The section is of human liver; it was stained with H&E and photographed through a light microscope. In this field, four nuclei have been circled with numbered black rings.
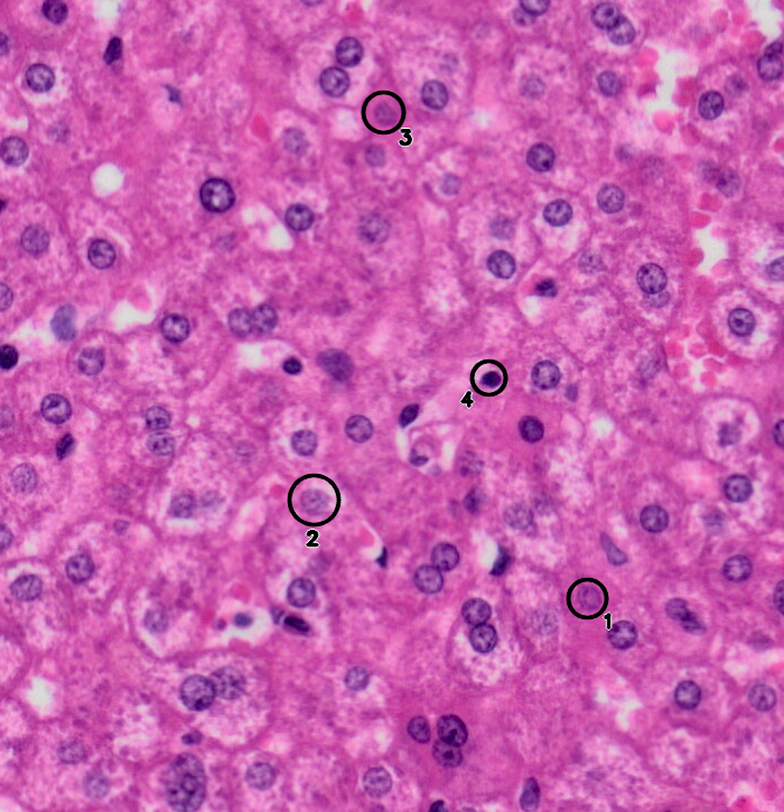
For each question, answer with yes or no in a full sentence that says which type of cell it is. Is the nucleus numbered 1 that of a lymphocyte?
No, number 1 points to a hepatocyte and not to a lymphocyte.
